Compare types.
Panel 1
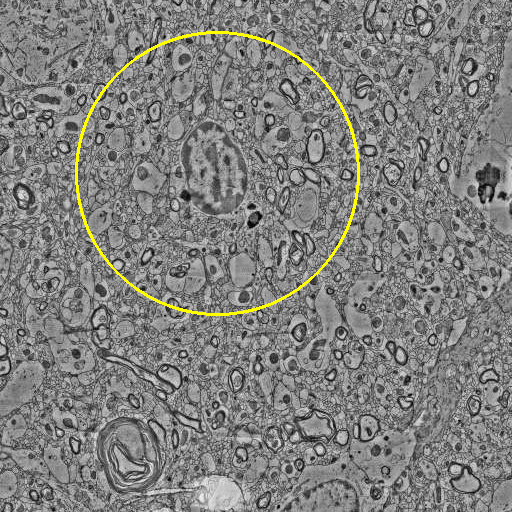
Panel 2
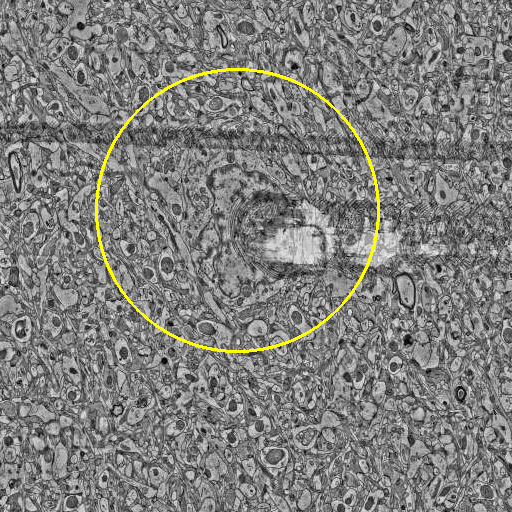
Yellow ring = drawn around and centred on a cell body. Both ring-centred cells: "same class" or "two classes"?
two classes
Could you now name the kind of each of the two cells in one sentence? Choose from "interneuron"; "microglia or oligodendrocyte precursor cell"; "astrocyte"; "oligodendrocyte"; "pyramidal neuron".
The first ring encloses a microglial cell or oligodendrocyte precursor cell; the second ring encloses an interneuron.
